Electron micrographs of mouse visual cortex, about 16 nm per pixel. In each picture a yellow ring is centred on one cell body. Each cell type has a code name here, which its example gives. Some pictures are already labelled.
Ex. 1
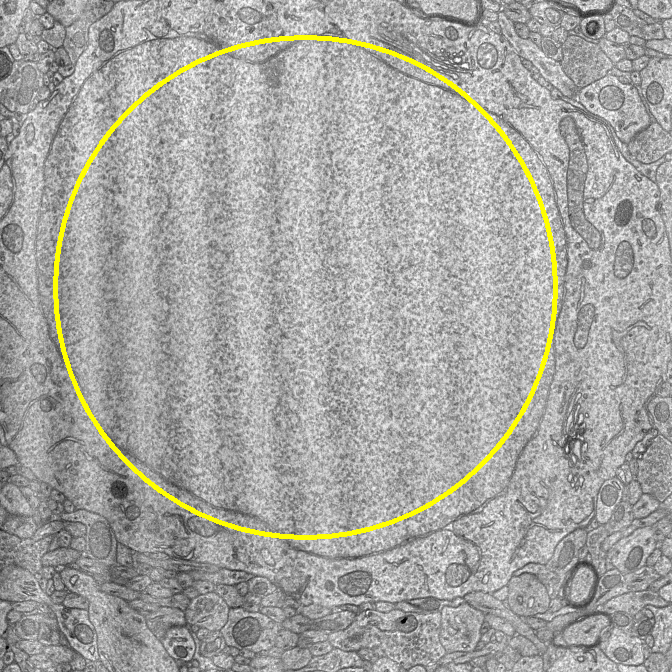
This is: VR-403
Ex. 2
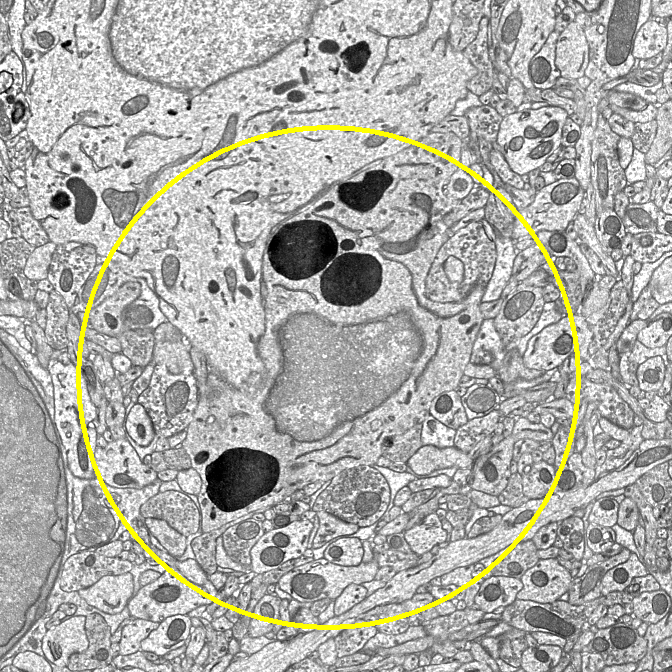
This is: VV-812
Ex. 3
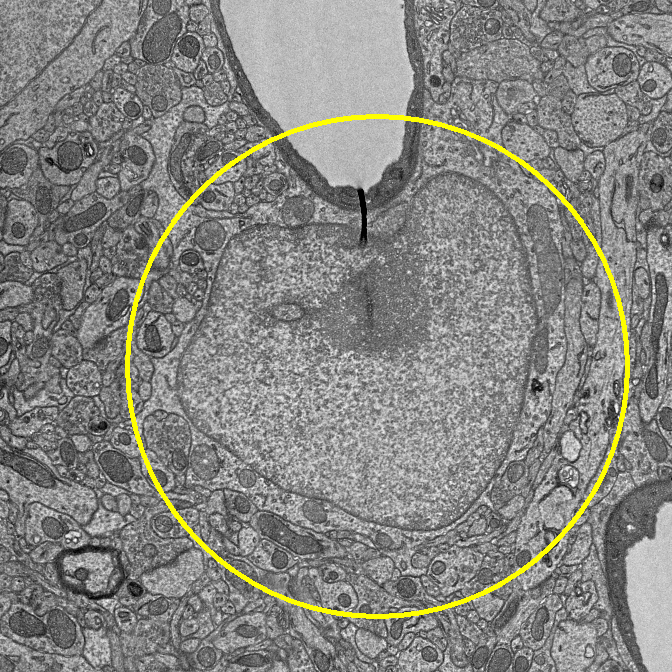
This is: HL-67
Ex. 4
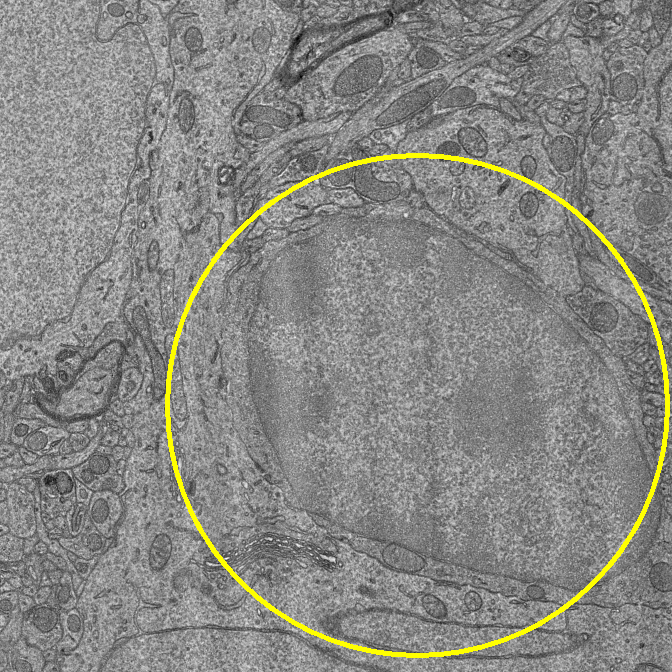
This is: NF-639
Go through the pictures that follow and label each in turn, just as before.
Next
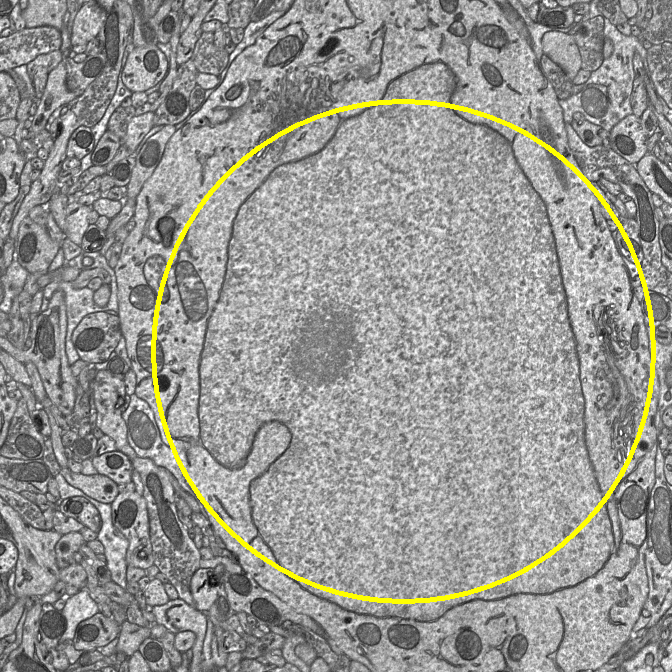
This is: VR-403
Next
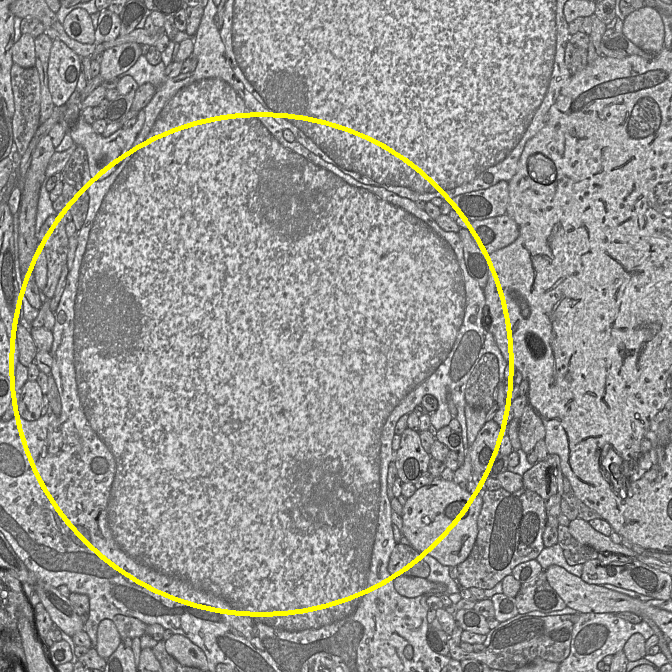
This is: HL-67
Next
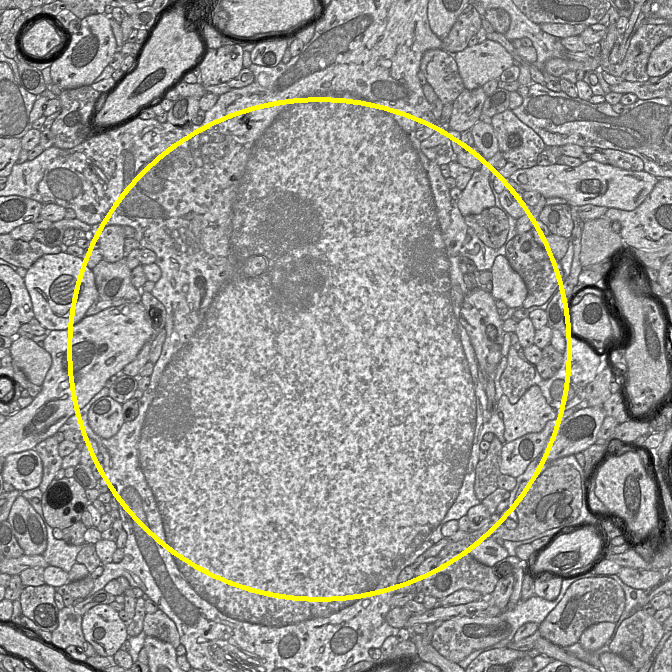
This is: HL-67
